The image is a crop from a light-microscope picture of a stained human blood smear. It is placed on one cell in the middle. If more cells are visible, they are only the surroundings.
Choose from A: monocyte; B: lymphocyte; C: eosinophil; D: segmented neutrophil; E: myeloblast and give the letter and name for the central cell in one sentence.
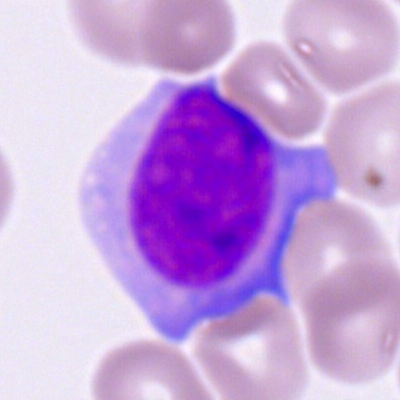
It is a myeloblast that occupies the centre of the crop, so option E is correct.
